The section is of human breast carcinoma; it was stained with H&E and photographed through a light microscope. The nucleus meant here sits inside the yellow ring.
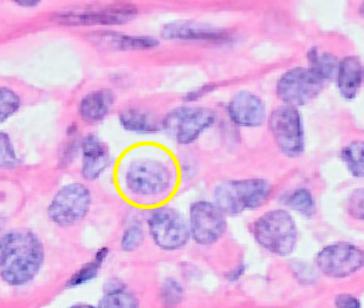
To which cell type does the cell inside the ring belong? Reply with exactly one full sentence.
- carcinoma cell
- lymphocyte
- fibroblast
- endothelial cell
The correct response here is that the cell inside the ring is a carcinoma cell.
